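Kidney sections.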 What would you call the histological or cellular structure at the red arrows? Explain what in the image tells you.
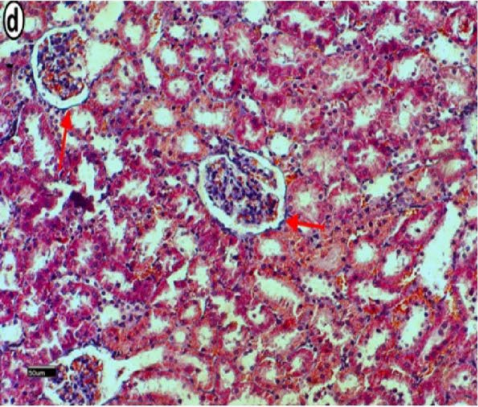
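The red arrows point to the outer rim around round glomeruli. A clear space lies between the glomerular tuft and the rim. On this evidence: Bowman’s capsule.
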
